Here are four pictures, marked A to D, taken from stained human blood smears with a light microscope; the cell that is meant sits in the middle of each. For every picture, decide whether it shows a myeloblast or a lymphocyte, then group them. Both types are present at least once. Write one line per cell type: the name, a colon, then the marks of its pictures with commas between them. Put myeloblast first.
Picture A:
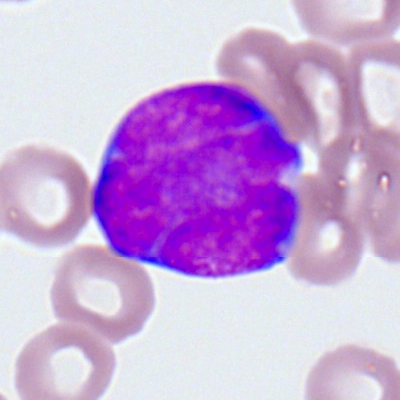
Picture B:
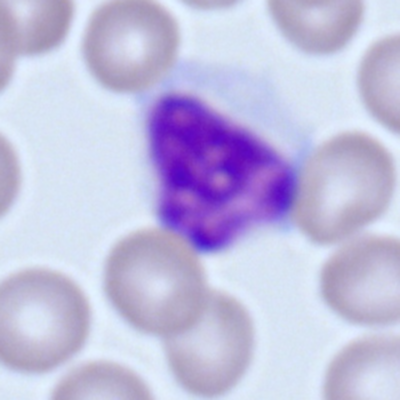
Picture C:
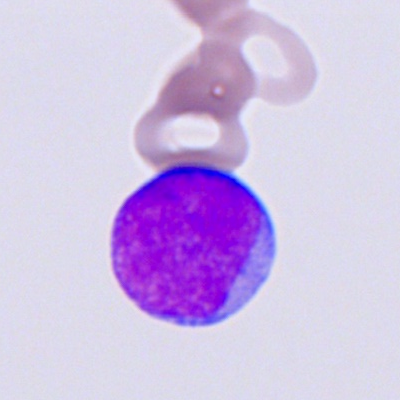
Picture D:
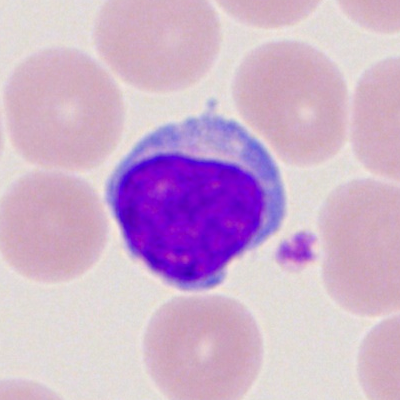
myeloblast: A, C
lymphocyte: B, D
